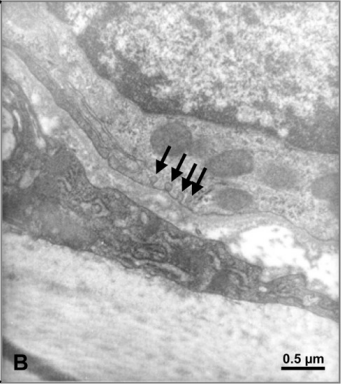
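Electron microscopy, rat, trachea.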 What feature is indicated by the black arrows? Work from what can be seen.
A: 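The arrows point at a row of small rounded invaginations along a cell membrane. The invaginations are of uniform size, much smaller than the nearby mitochondria. So: Caveolae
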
